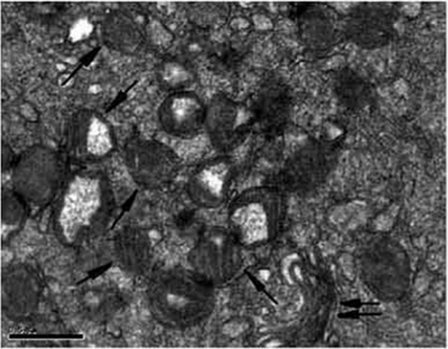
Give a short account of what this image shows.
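Many mitochondria are oval and dark, with parallel transverse cristae crossing them. Other mitochondria have a dark rim around a pale, irregular centre. At the lower right a stack of curved, parallel flattened membranes with nearby small vesicles forms a Golgi apparatus. Scattered small vesicles and membrane profiles lie between the organelles.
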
